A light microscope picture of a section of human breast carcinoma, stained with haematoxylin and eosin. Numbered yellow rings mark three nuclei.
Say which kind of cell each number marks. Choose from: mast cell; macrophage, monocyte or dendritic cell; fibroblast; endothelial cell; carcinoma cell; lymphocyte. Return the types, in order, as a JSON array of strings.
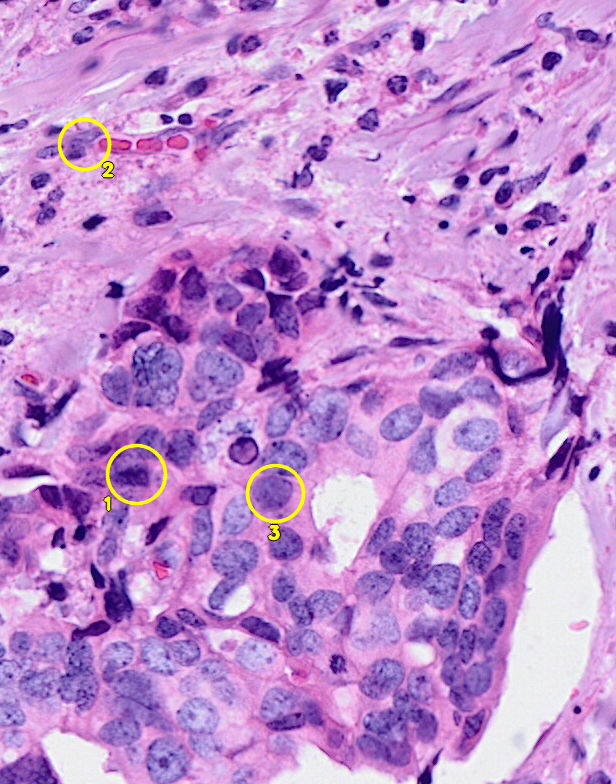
["carcinoma cell", "endothelial cell", "carcinoma cell"]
